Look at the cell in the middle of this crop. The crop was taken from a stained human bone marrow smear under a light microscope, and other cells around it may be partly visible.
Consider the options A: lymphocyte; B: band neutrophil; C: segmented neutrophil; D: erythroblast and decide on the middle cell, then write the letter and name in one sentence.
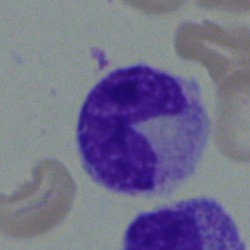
The correct option, B, names the middle cell as a band neutrophil.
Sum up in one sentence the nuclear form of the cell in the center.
Key feature: a single compact nucleus, round, oval or kidney-shaped.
